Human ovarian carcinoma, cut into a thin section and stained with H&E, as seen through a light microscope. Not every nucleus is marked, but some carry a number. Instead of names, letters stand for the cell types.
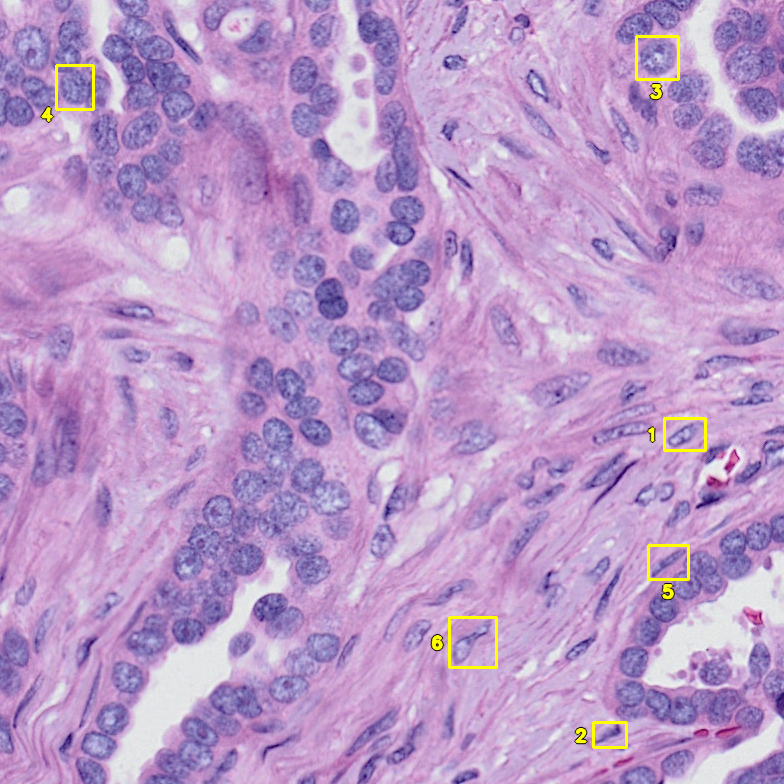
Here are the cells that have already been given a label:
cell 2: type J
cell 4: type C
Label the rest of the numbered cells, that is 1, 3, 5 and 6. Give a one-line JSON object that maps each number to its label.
{"1": "type J", "3": "type C", "5": "type J", "6": "type J"}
